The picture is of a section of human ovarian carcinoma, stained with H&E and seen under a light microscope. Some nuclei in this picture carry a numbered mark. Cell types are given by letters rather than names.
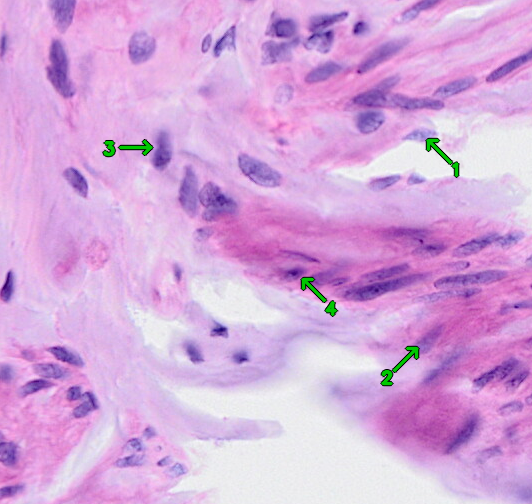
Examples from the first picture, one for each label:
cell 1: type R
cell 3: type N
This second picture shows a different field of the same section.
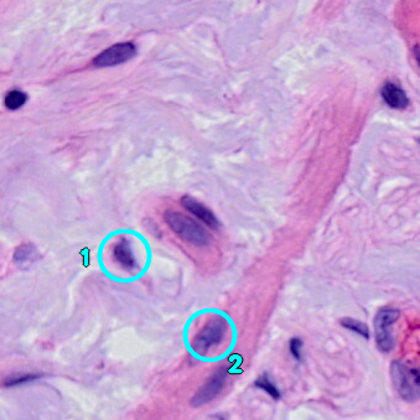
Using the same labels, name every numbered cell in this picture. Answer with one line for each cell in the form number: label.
1: type N
2: type R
